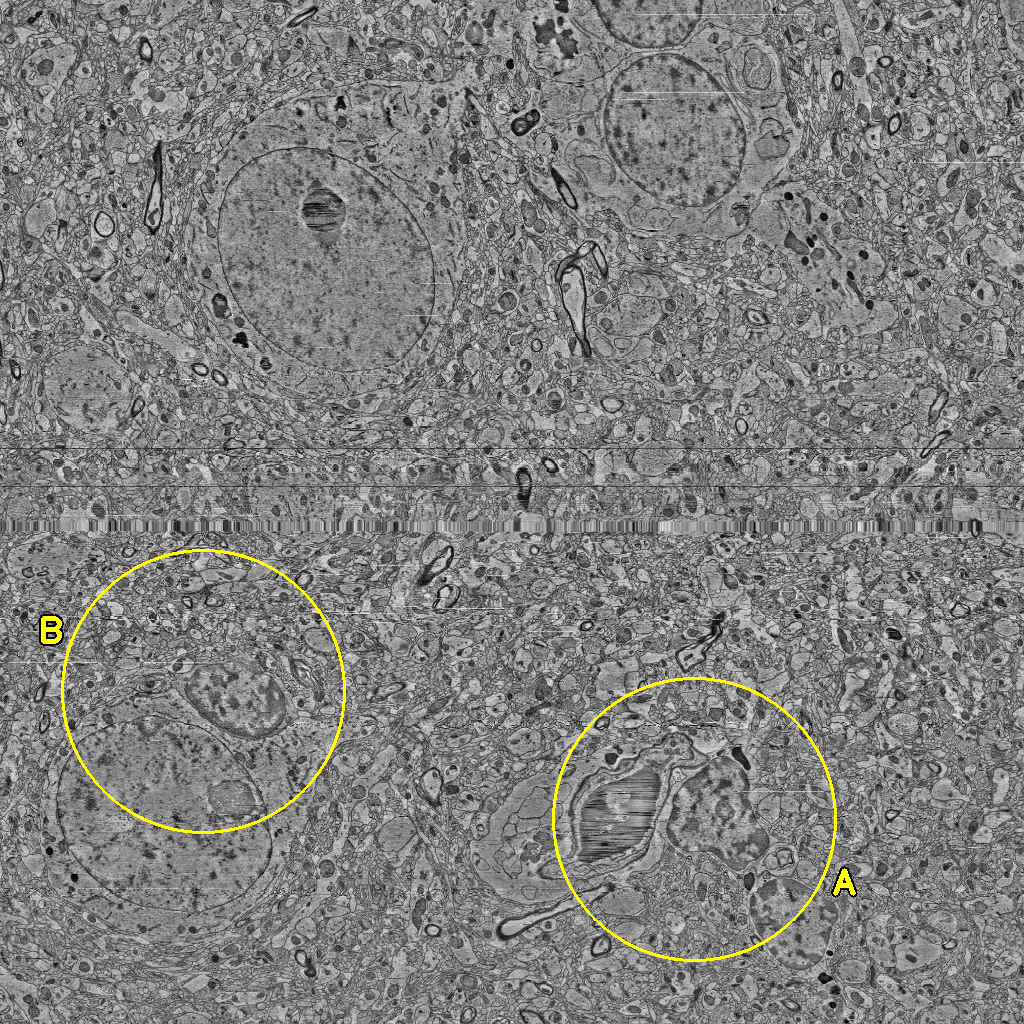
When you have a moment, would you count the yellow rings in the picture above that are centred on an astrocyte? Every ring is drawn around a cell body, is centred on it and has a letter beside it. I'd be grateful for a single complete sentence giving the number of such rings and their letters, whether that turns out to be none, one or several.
Not one of the yellow rings is centred on an astrocyte, so the count comes to zero.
